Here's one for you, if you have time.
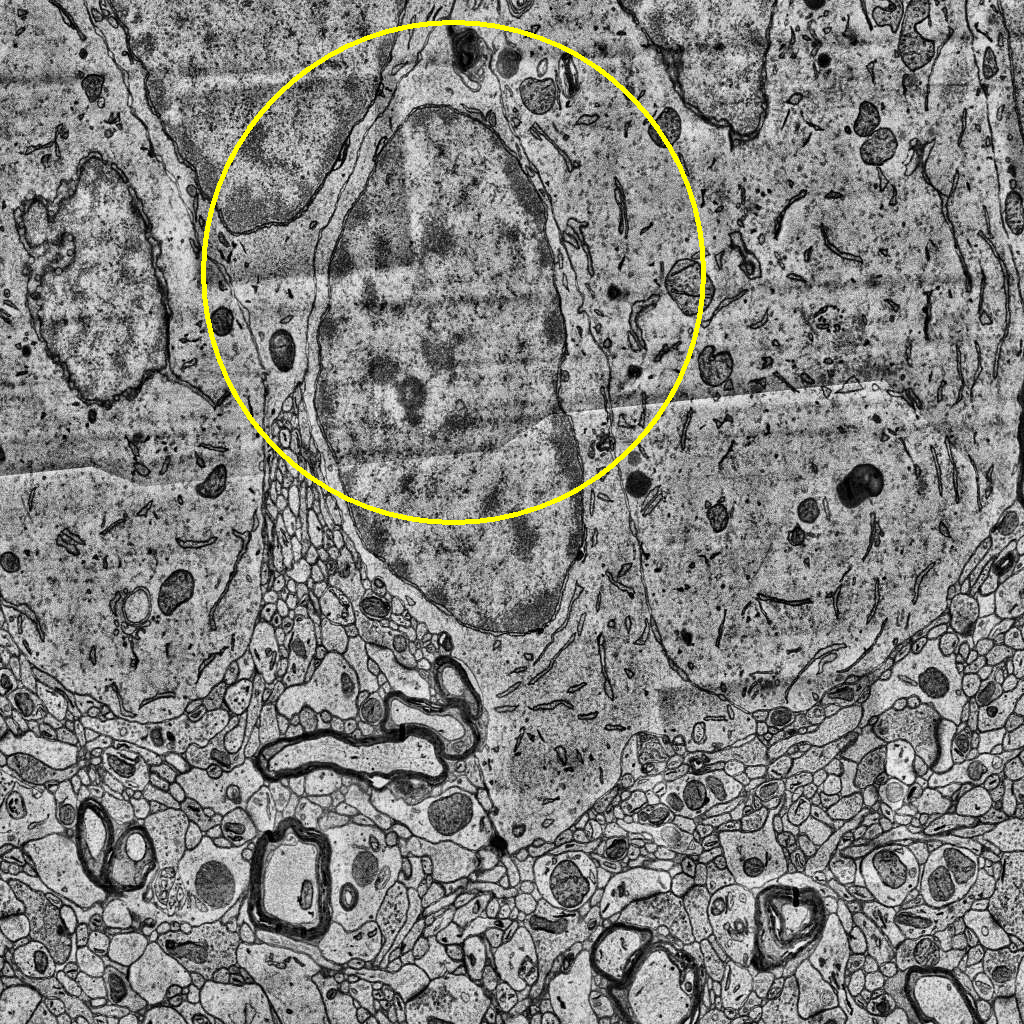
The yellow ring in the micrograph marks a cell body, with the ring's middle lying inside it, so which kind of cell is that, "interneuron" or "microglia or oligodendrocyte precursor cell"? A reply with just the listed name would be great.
microglia or oligodendrocyte precursor cell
